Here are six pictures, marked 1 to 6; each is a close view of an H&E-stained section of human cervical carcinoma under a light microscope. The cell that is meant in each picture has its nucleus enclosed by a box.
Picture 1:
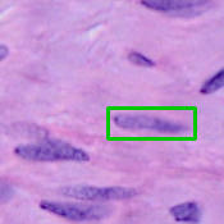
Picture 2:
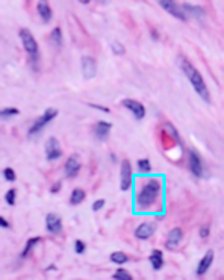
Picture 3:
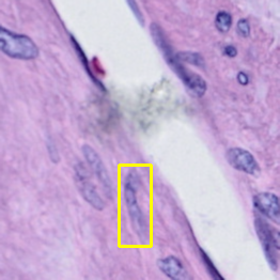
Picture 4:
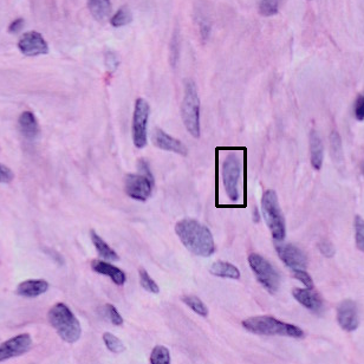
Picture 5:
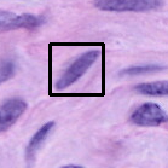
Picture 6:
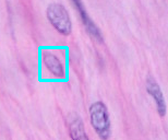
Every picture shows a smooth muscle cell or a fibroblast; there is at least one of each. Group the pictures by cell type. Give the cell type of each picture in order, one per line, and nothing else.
fibroblast
smooth muscle cell
smooth muscle cell
fibroblast
fibroblast
smooth muscle cell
